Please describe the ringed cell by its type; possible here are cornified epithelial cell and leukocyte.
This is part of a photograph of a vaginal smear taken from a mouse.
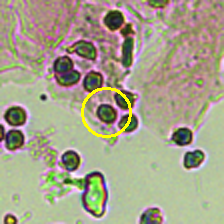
The yellow ring marks a leukocyte.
